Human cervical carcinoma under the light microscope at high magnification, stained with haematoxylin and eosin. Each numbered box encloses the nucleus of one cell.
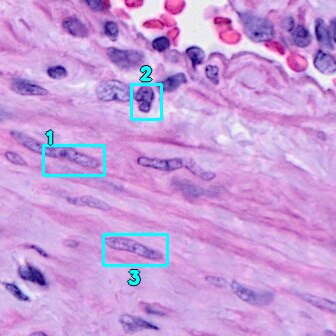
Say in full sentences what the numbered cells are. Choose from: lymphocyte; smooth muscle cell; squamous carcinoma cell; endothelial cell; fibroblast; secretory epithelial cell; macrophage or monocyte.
Cells 1 and 3 are smooth muscle cells. Cell 2 is a lymphocyte.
